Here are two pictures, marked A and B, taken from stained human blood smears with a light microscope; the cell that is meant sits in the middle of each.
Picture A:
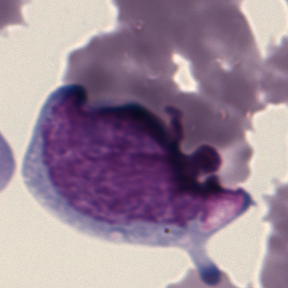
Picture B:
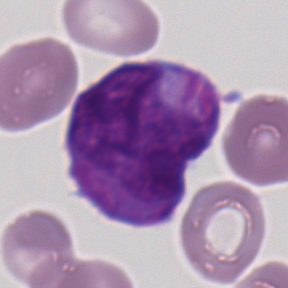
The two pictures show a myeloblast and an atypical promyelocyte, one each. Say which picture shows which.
A: myeloblast
B: atypical promyelocyte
